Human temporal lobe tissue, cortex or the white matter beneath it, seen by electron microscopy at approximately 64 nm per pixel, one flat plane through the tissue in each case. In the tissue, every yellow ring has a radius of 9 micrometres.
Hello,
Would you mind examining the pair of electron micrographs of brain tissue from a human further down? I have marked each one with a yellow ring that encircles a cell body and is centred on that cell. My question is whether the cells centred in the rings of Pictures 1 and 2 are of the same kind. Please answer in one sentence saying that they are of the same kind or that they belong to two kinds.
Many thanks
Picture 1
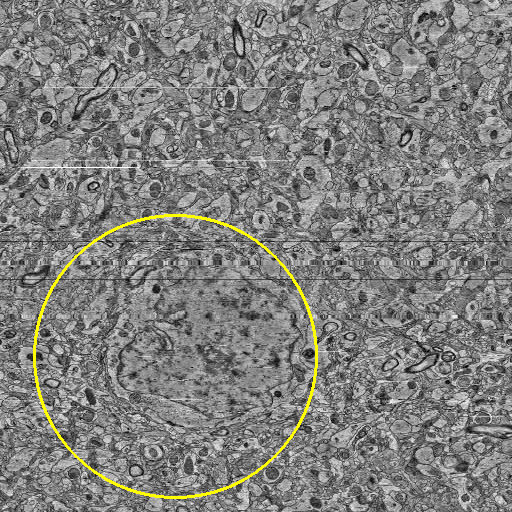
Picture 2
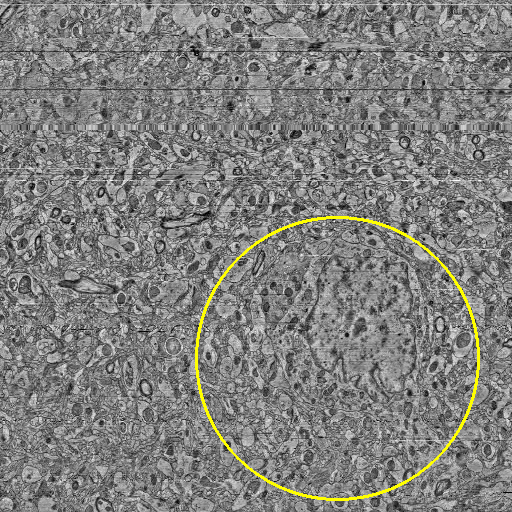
In Pictures 1 and 2, the cells at the heart of the rings are of the same kind.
